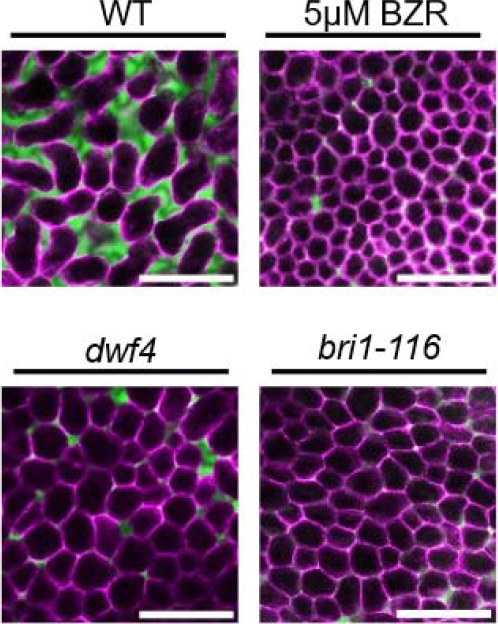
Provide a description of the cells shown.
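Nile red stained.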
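Four fluorescence images show palisade mesophyll viewed face-on, with each cell seen as a dark rounded or polygonal profile bordered by a magenta outline. In the upper left image the cells are rounded and somewhat elongated, with green air spaces between them. In the other three images the cells are smaller, tightly packed polygons, with only tiny green pockets at the cell corners.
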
